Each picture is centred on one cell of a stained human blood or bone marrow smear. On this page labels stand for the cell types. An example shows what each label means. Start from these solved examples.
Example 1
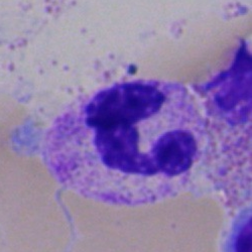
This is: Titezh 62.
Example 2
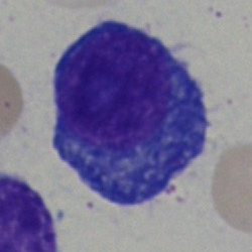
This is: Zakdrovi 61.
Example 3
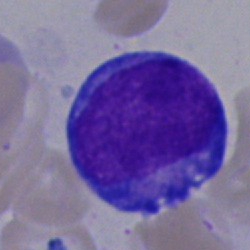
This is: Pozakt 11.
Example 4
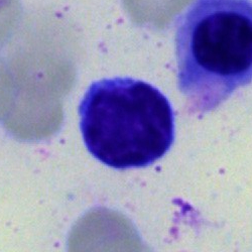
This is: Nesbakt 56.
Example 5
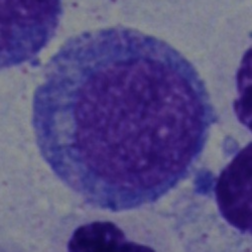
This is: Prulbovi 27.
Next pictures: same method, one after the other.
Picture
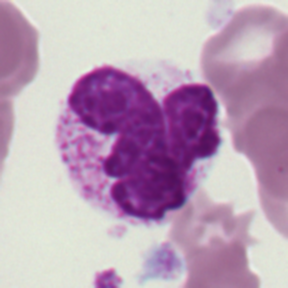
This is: Titezh 62.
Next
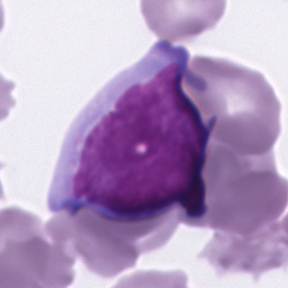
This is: Pozakt 11.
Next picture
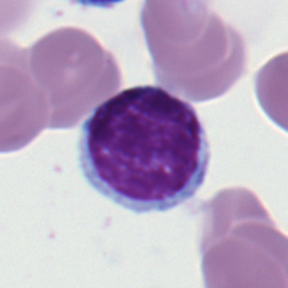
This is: Nesbakt 56.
